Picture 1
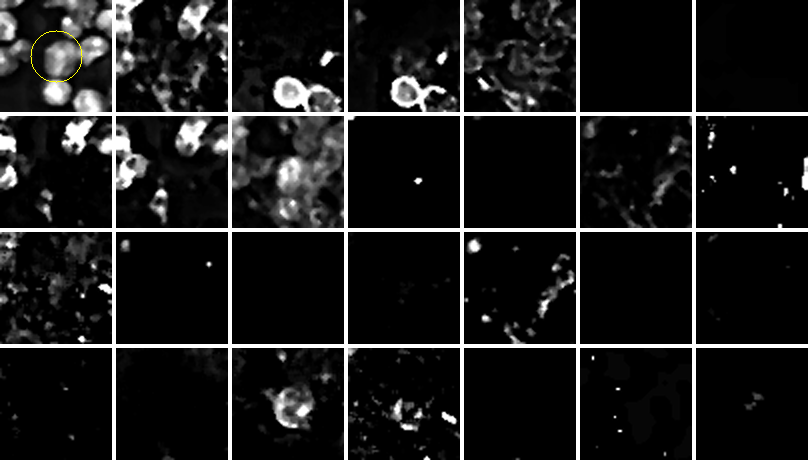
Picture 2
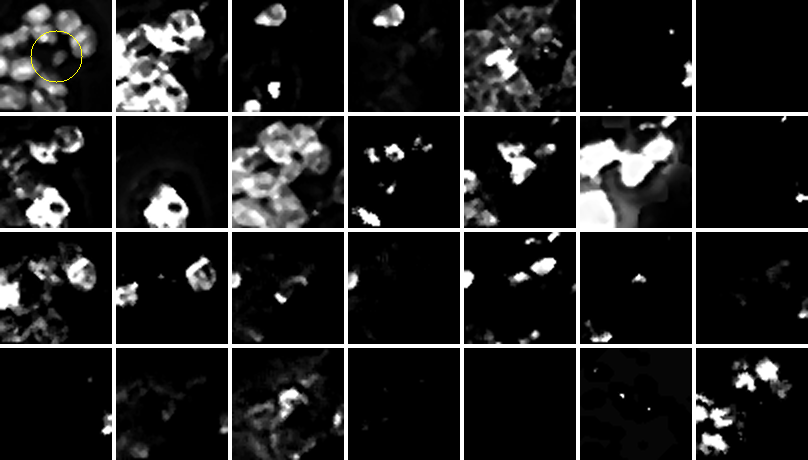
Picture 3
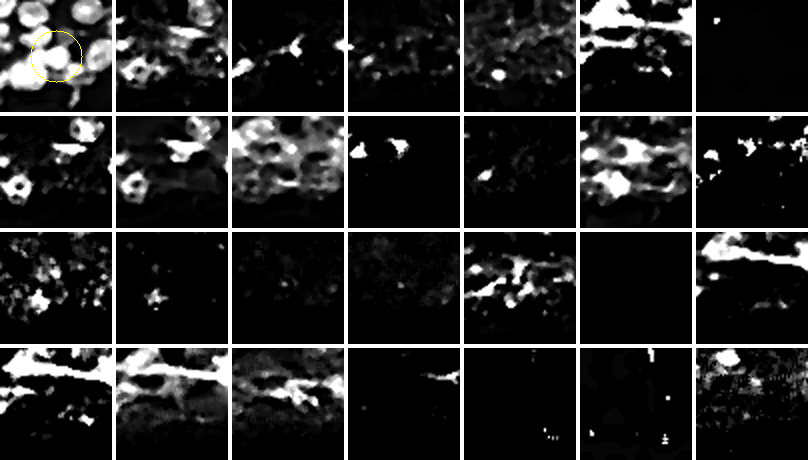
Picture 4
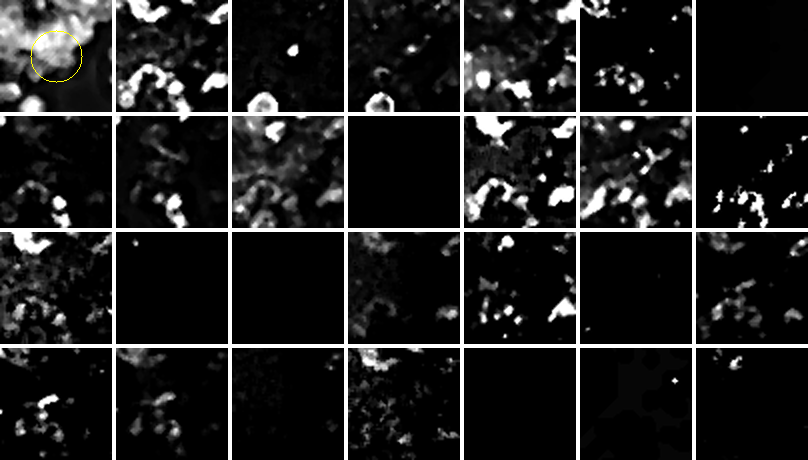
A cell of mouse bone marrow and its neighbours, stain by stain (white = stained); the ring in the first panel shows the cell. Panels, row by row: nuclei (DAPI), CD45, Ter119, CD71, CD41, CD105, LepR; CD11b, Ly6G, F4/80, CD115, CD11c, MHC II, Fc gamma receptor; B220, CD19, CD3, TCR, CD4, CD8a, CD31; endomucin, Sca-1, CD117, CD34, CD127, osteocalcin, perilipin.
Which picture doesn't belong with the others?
Picture 4.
